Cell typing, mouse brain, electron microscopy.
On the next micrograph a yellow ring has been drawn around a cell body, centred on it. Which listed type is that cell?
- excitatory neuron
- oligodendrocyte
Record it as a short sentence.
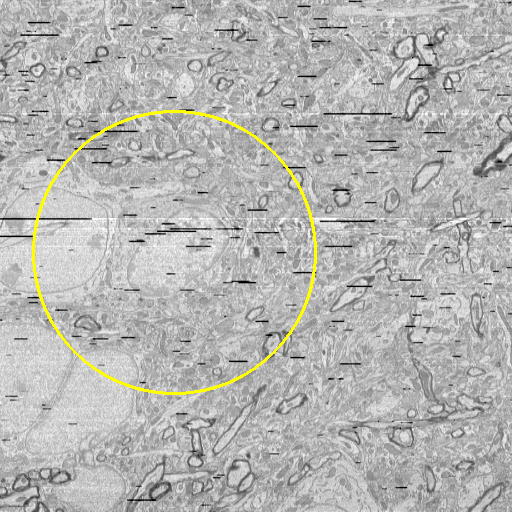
The cell body in the ring's centre belongs to an oligodendrocyte.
